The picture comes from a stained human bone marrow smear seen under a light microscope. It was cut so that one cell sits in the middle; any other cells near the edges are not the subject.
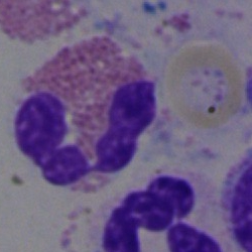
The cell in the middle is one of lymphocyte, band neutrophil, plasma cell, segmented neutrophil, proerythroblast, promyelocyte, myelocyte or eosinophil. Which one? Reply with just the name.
eosinophil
